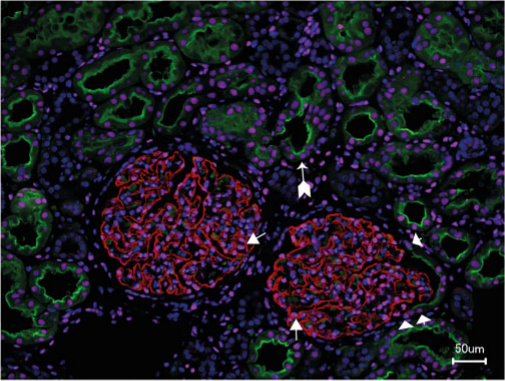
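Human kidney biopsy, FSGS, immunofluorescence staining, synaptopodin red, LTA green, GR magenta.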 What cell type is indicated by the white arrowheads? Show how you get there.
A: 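These cells lie outside the red-outlined capillary tuft. On this evidence: parietal epithelial cells.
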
